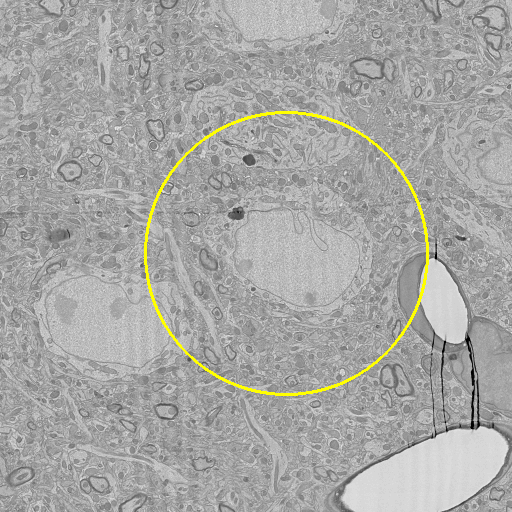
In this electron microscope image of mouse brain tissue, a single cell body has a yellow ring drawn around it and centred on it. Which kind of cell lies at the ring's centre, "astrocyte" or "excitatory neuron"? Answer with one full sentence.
It is an excitatory neuron whose cell body lies at the centre of the yellow ring here.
